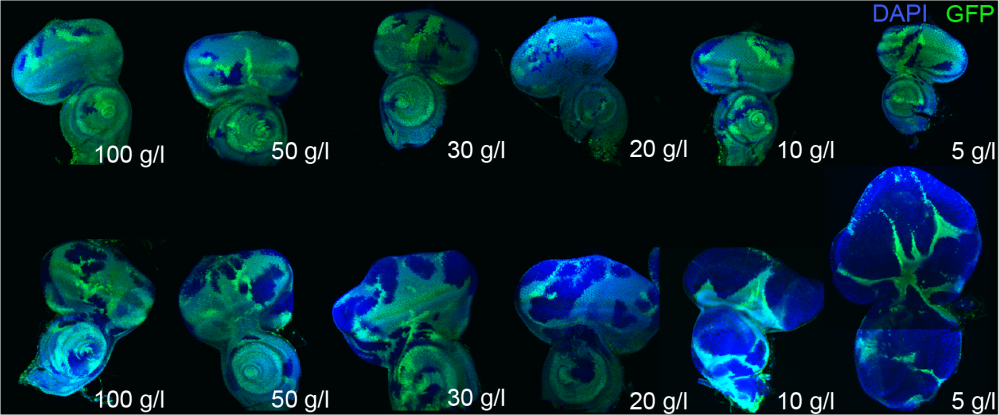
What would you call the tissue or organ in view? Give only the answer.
eye discs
